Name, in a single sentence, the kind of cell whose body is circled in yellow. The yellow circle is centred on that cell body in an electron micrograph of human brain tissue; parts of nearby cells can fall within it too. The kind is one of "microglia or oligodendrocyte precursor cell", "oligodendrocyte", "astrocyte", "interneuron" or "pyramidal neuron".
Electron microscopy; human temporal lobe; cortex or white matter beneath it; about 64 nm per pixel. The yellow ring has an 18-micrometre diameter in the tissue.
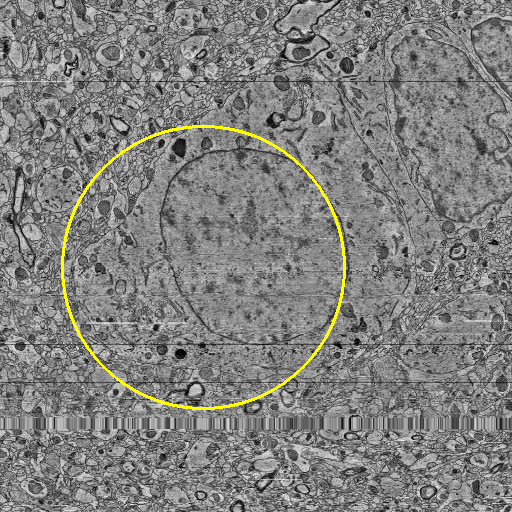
The circled cell body belongs to a pyramidal neuron.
